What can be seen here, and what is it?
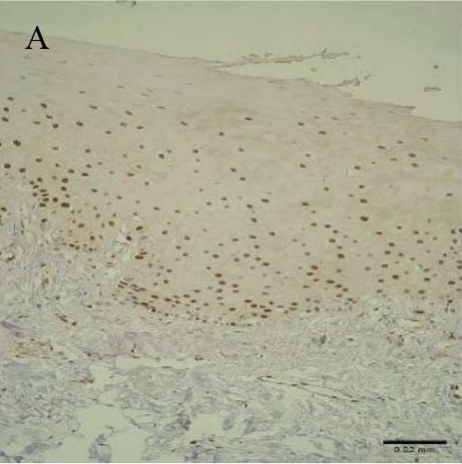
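This is a lining of stratified squamous epithelium made of keratinocytes, resting on loose connective tissue. Many nuclei in the epithelium are stained brown. They are crowded and small near the base, where the cells are packed tightly. The cytoplasm carries only a faint tan tint. Below the epithelium the connective tissue is pale. It holds wavy fibres and scattered spindle-shaped nuclei, most of which are bluish, with only a few brown.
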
